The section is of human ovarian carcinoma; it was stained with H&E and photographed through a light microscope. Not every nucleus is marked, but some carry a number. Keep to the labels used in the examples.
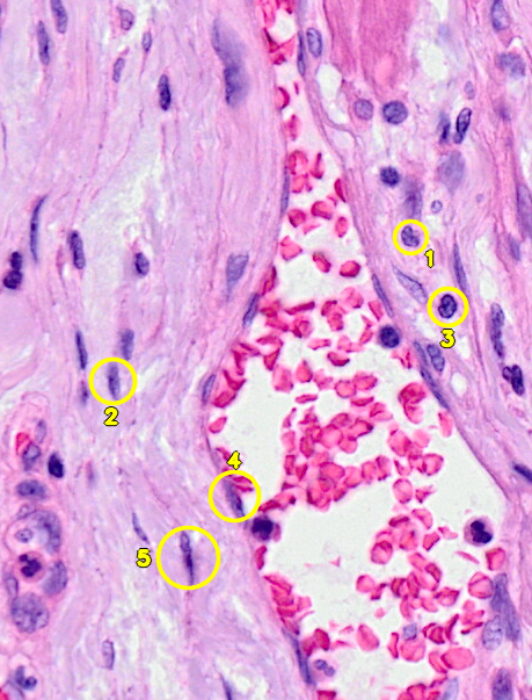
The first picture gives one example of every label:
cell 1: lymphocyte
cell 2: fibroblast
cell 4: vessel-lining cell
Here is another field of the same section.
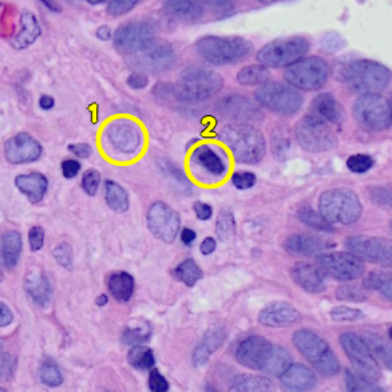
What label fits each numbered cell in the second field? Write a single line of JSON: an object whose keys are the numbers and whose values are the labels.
{"1": "fibroblast", "2": "lymphocyte"}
